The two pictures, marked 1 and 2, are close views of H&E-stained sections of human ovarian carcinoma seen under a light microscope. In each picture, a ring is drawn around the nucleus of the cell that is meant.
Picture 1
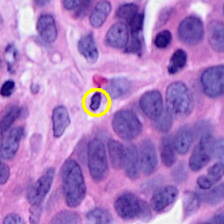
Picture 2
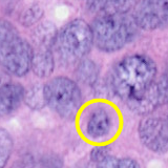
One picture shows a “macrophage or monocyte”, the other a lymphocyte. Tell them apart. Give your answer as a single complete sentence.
In picture 1 the cell is a lymphocyte; in picture 2, a “macrophage or monocyte”.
